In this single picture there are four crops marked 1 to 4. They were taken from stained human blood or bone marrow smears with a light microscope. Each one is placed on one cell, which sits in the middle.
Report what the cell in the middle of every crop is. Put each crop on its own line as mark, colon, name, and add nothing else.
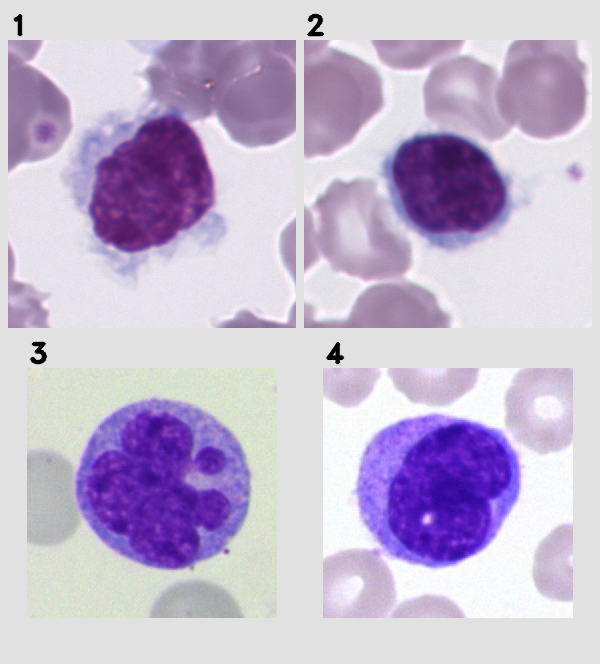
1: hairy cell
2: hairy cell
3: monocyte
4: monocyte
